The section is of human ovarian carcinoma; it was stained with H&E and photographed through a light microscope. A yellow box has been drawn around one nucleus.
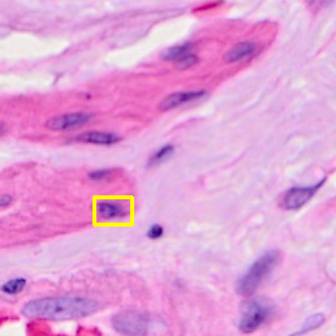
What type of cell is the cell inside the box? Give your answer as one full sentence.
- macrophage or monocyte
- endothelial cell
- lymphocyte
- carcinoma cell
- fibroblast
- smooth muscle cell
In this preparation, the cell inside the box is a smooth muscle cell.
